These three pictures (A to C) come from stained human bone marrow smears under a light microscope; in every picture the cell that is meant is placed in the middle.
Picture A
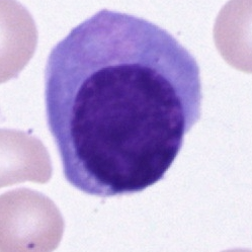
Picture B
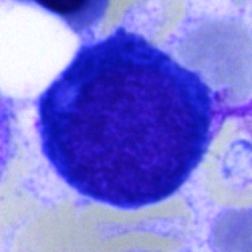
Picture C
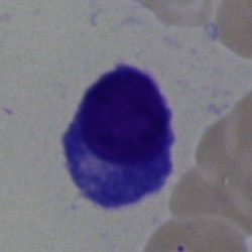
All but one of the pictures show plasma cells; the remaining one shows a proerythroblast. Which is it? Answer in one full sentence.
The picture with the proerythroblast is B.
